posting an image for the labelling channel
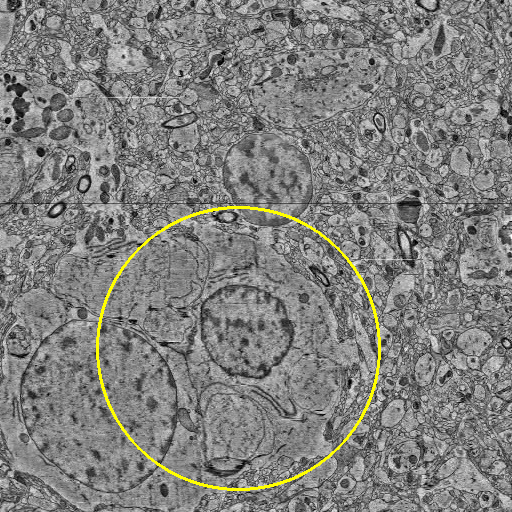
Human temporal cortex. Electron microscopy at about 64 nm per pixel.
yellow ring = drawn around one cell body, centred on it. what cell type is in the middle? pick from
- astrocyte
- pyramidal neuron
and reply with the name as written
astrocyte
